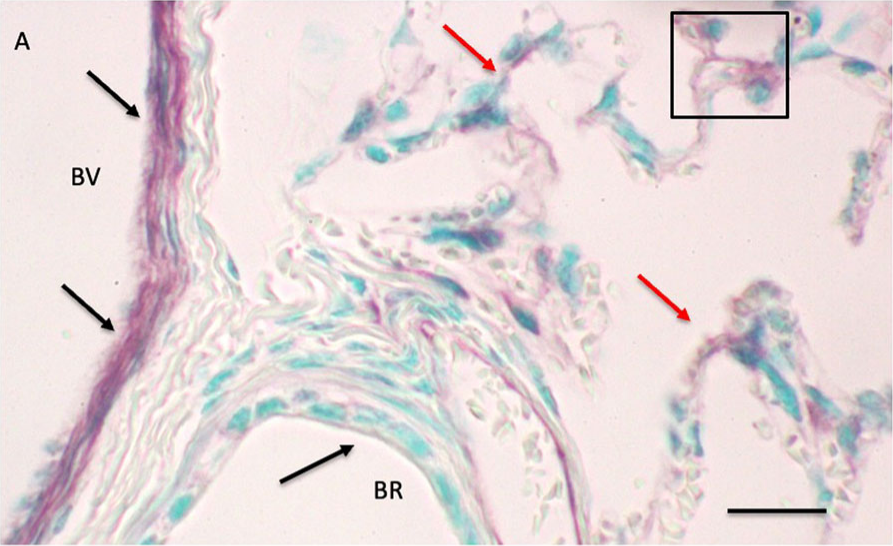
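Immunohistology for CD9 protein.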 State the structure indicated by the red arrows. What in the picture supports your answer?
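The arrows point to thin walls separating open air spaces. The thin walls carry few blue-green nuclei and a purple rim.
Conclusion: alveolar septa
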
